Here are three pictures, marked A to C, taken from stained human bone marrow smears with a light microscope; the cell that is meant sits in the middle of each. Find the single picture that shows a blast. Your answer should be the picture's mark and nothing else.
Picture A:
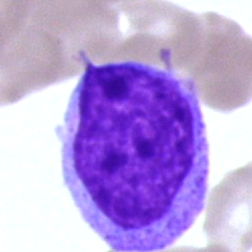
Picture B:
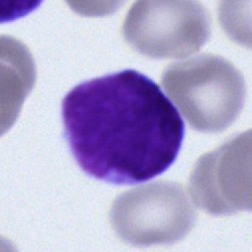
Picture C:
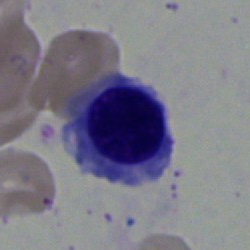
A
